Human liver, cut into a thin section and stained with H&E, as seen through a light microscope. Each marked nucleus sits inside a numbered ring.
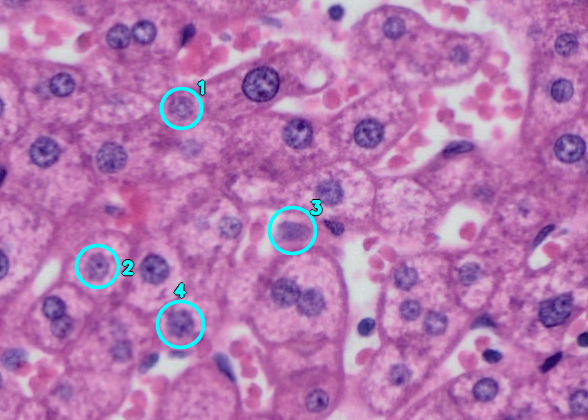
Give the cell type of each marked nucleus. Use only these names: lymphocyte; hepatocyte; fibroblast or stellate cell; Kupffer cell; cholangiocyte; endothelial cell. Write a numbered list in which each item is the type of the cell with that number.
1. hepatocyte
2. hepatocyte
3. Kupffer cell
4. hepatocyte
